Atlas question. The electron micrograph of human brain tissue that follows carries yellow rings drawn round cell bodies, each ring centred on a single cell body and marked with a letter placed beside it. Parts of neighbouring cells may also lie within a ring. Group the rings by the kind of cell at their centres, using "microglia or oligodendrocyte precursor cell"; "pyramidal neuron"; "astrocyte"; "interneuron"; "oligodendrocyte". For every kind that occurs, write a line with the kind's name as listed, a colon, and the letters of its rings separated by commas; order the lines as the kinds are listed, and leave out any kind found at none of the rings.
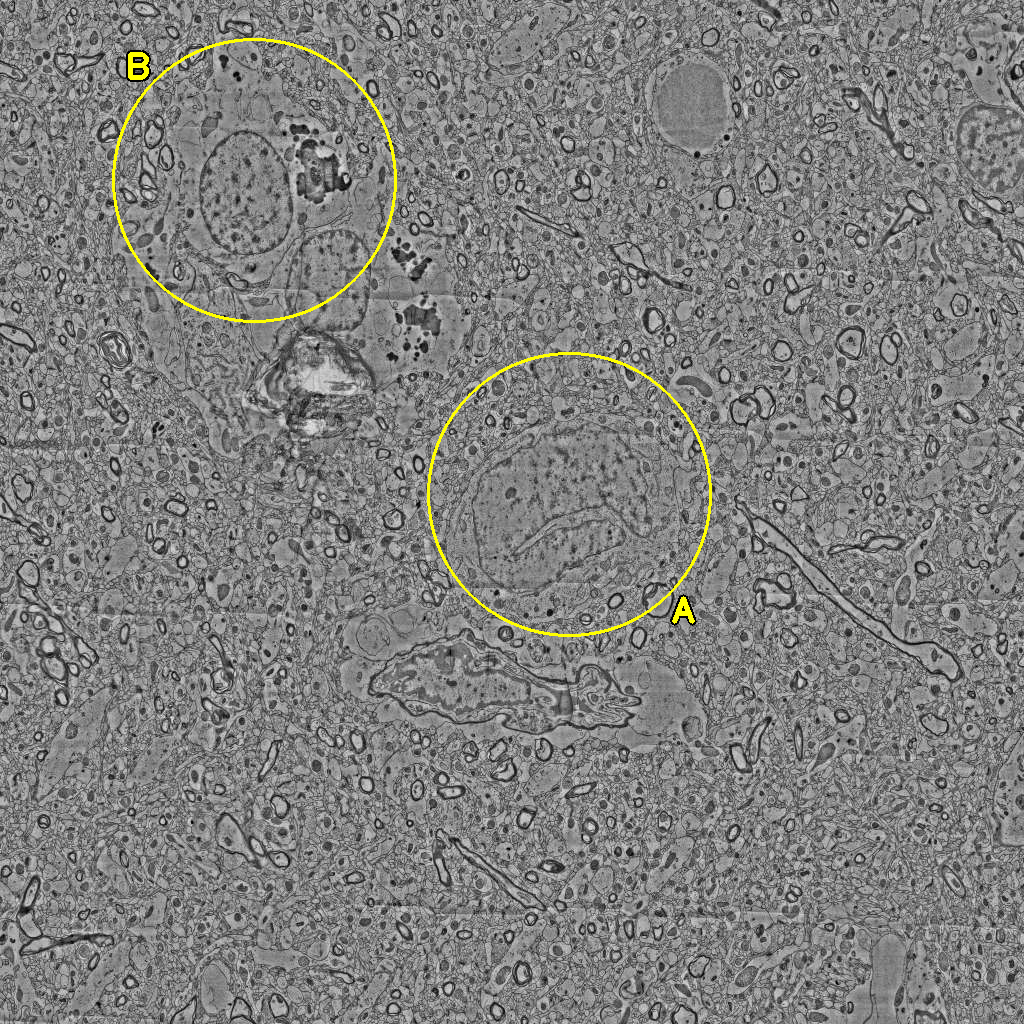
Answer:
astrocyte: B
interneuron: A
